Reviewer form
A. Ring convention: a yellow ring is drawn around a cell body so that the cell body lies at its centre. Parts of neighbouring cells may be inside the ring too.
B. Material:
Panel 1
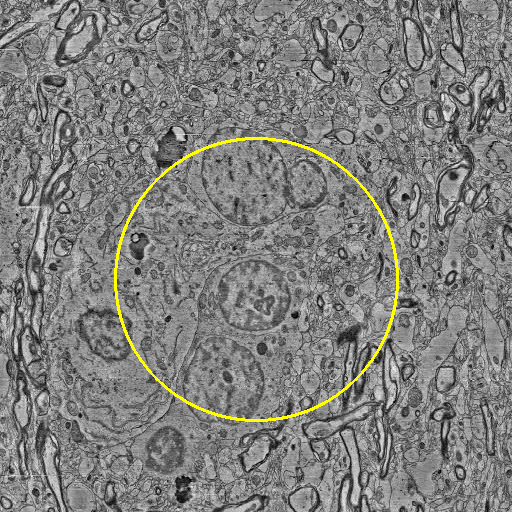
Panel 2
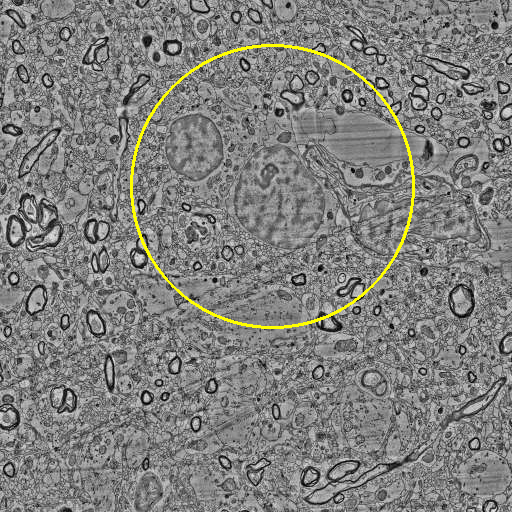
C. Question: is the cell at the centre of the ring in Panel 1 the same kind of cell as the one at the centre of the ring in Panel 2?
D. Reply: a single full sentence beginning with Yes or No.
Yes, the cells in Panel 1 and Panel 2 are the same kind of cell.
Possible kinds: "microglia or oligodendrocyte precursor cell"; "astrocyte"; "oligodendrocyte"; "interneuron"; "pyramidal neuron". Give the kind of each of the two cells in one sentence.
The cell at the ring centre is an oligodendrocyte in both pictures.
